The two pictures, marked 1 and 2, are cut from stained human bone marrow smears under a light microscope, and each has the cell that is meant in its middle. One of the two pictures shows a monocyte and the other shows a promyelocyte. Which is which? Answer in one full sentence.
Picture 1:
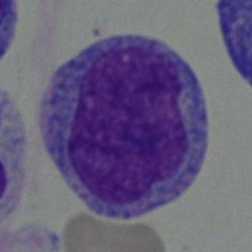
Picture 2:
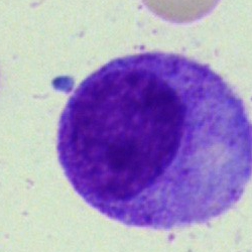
Picture 1 shows a monocyte and picture 2 shows a promyelocyte.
